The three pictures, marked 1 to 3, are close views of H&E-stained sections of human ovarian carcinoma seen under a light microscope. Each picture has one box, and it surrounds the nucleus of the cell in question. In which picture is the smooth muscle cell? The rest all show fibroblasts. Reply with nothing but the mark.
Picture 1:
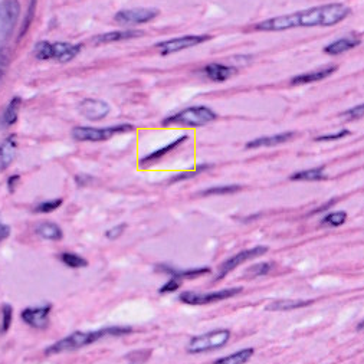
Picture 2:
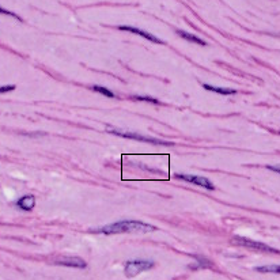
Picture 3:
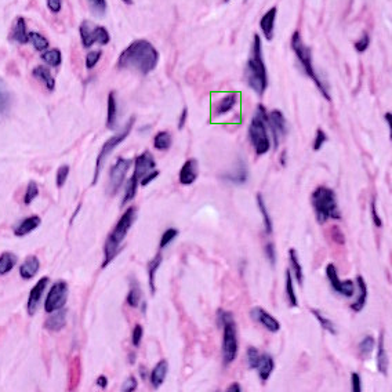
3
